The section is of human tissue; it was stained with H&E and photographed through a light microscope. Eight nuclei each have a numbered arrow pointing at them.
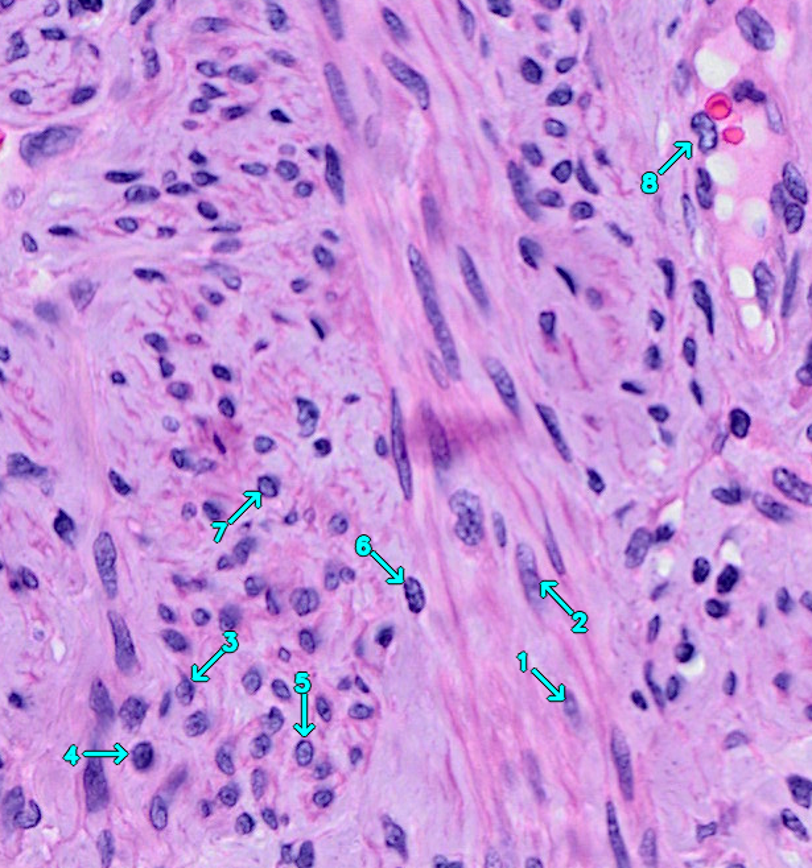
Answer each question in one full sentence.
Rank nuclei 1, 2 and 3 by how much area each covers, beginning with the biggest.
Going from the biggest nucleus down to the smallest gives 2, 1, 3.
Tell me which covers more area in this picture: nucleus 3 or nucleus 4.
Number 4 is larger; its area is about 2 times that of number 3.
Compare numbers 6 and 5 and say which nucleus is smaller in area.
Nucleus 5 is the smaller one; nucleus 6 covers about 1.5 times its area.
